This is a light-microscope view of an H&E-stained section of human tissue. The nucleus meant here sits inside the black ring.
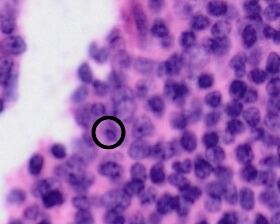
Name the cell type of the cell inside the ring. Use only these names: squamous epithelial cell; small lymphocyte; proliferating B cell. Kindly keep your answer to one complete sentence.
As far as its identity is concerned, the cell inside the ring is a proliferating B cell.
